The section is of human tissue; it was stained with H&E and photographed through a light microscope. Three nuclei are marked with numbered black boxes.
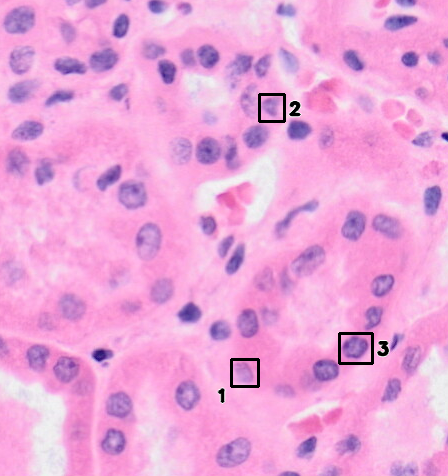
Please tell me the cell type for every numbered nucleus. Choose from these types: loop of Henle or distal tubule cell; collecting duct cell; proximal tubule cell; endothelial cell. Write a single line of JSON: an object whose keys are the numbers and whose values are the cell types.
{"1": "proximal tubule cell", "2": "collecting duct cell", "3": "proximal tubule cell"}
